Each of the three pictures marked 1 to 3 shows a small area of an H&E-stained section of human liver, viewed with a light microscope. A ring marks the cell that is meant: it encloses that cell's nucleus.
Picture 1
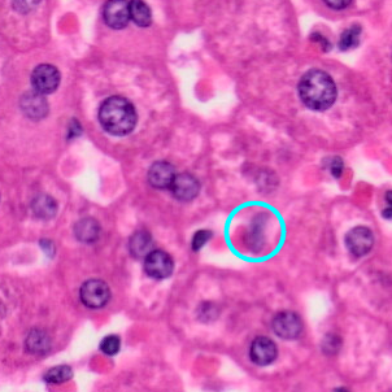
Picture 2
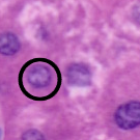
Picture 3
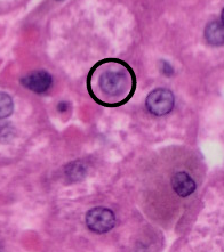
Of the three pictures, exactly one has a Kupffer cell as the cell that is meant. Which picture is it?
1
